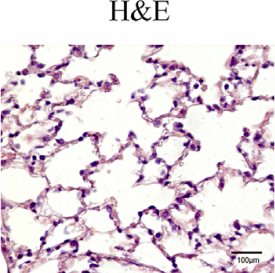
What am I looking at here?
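This is lung parenchyma: a network of thin alveolar walls encloses many open, empty air spaces. The walls are narrow pink strands of fairly even thickness that branch and join to outline the alveoli. Small dark purple nuclei, round to oval, sit scattered along the walls, mostly singly. Few free cells lie within the air spaces. The walls are not thickened, and there are no dense clusters of nuclei.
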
